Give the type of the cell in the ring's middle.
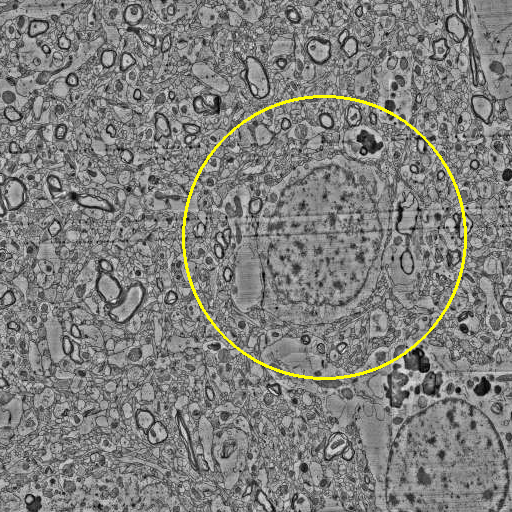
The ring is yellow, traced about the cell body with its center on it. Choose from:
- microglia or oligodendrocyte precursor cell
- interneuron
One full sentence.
Here, an interneuron is the cell lying at the center of the yellow ring.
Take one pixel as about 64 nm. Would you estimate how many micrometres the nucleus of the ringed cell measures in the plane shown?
In this plane the nucleus spans approximately 9 by 7 micrometers.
